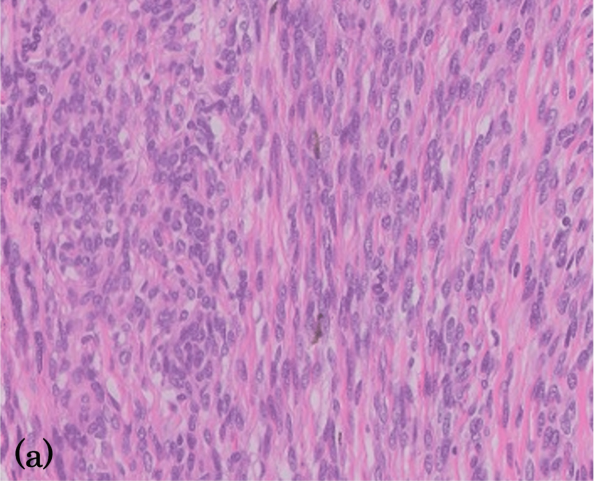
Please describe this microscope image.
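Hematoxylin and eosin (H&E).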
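This is a cellular spindle cell tumor made of densely packed cells with elongated, oval to spindle-shaped nuclei. The nuclei are purple-blue and fairly uniform, with scant, poorly defined pink cytoplasm. Cell density varies across the field, with more crowded areas alternating with looser zones where pink strands of collagen lie between the cells.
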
